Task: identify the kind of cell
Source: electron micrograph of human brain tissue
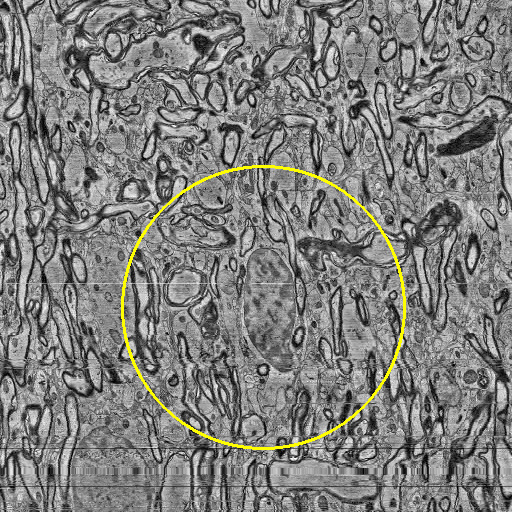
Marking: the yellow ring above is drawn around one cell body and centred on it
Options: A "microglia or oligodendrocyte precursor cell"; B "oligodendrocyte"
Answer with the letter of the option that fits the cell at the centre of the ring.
A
